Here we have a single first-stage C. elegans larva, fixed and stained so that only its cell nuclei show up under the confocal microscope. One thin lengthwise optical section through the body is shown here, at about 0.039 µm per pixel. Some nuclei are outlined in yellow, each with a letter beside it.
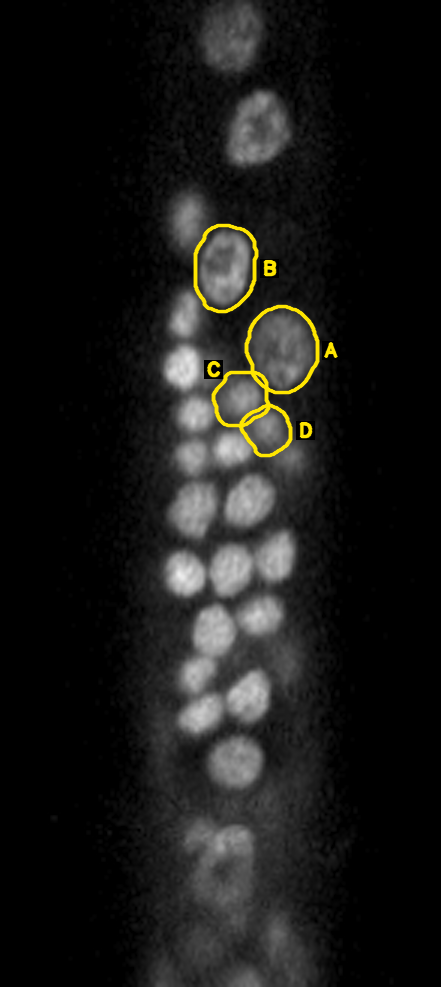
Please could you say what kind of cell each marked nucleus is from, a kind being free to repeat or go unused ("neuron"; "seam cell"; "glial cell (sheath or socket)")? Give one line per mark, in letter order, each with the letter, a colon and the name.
A: glial cell (sheath or socket)
B: seam cell
C: neuron
D: neuron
